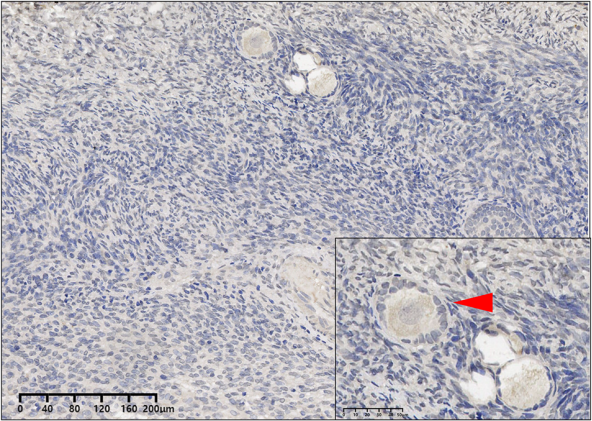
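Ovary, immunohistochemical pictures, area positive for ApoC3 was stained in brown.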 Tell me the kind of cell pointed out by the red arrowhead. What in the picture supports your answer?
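The arrowhead in the inset points to a large round cell with pale brownish cytoplasm. The cell is much larger than the surrounding spindle-shaped stromal cells. That points to this answer: oocytes.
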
